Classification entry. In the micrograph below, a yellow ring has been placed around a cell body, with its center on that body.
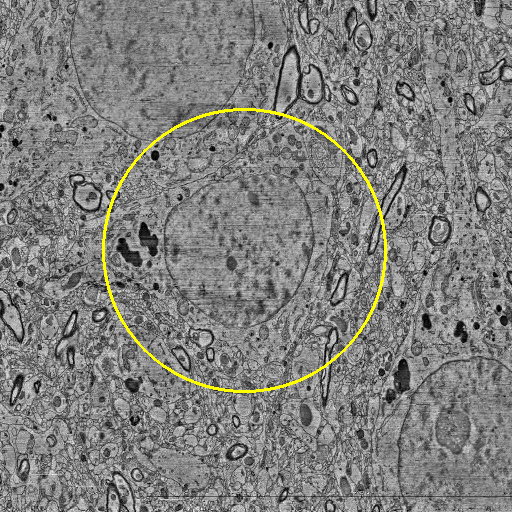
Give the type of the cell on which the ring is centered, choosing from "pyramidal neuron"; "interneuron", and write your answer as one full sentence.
The cell body at the center of the yellow ring belongs to an interneuron.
